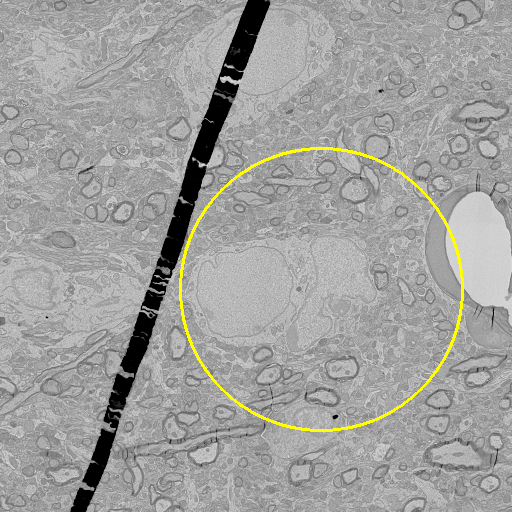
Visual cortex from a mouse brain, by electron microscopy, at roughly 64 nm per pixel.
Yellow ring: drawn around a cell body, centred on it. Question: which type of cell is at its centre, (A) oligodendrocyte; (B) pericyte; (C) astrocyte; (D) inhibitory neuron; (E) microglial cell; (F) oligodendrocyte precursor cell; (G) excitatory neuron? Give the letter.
F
